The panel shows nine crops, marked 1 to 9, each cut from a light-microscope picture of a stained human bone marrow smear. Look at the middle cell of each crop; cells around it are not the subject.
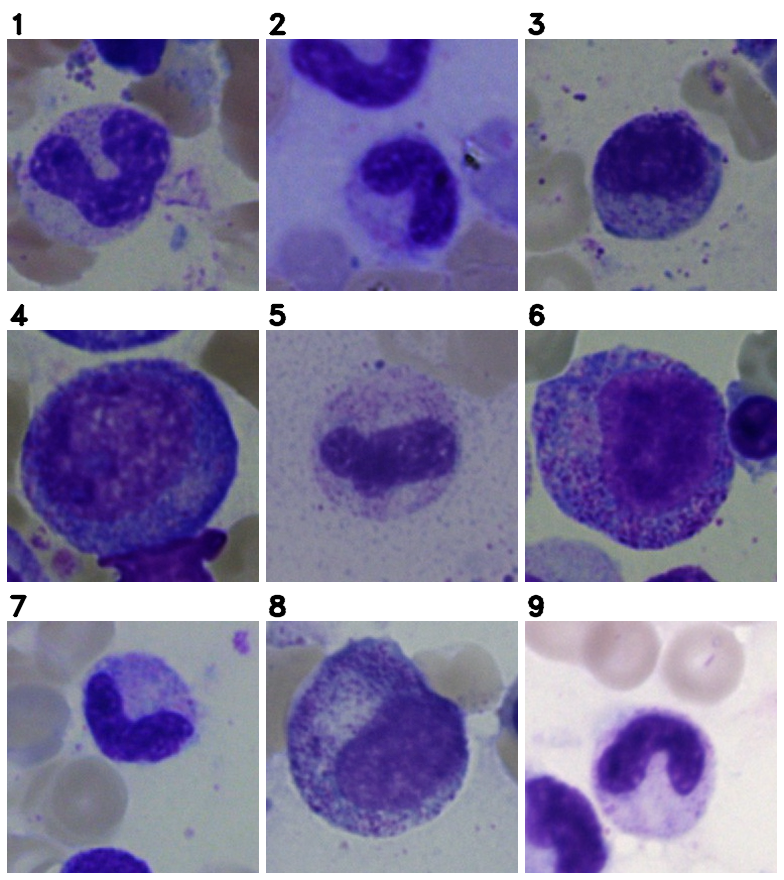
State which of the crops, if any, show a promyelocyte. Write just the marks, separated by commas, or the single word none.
4, 6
